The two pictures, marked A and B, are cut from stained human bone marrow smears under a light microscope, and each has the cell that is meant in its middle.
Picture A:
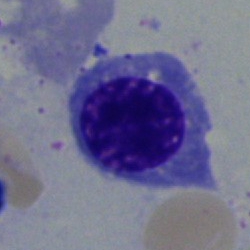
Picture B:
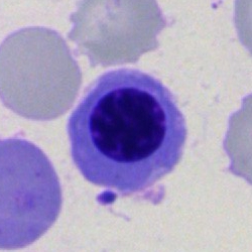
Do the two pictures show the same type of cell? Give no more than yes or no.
yes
